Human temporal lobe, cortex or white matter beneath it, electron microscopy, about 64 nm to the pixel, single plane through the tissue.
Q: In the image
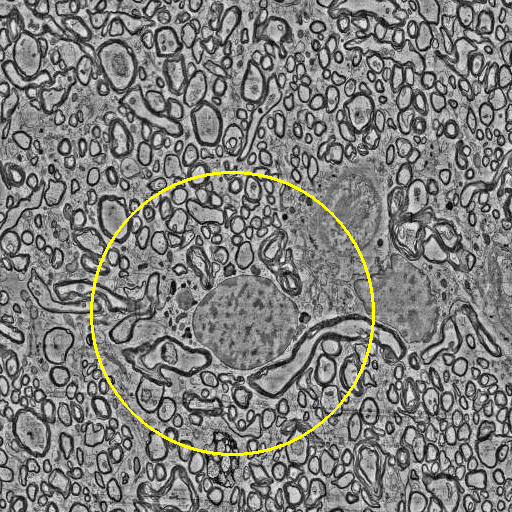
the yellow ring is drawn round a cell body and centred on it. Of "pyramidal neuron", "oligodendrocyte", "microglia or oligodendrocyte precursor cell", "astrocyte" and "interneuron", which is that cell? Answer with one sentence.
The cell centred in the ring is a microglial cell or oligodendrocyte precursor cell.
